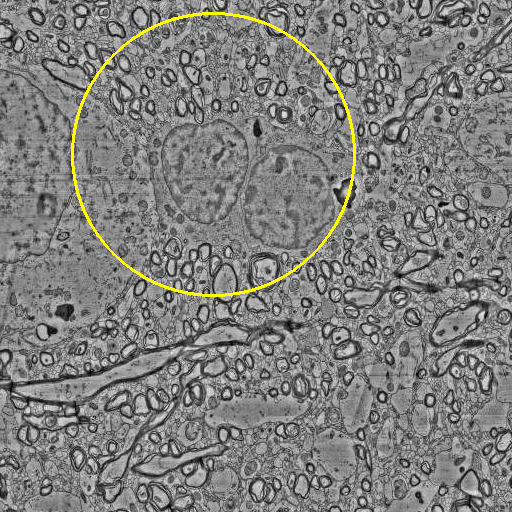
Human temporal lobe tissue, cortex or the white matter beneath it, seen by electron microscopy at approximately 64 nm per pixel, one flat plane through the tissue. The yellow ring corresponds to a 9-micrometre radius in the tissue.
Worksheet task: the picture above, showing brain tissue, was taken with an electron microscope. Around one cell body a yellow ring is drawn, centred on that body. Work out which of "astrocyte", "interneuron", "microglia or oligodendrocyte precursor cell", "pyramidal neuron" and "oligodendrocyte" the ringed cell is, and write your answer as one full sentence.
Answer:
It is an oligodendrocyte whose cell body lies at the centre of the yellow ring.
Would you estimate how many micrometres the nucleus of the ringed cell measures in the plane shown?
The nucleus comes to roughly 7 by 6 micrometres in this plane.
